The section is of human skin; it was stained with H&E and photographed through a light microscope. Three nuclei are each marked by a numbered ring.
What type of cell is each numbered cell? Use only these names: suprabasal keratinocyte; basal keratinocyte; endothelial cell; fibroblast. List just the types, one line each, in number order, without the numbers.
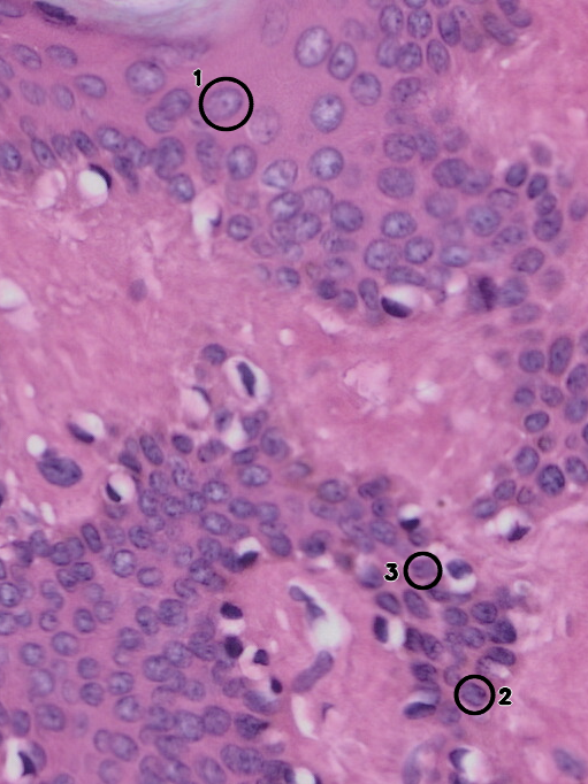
suprabasal keratinocyte
basal keratinocyte
basal keratinocyte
